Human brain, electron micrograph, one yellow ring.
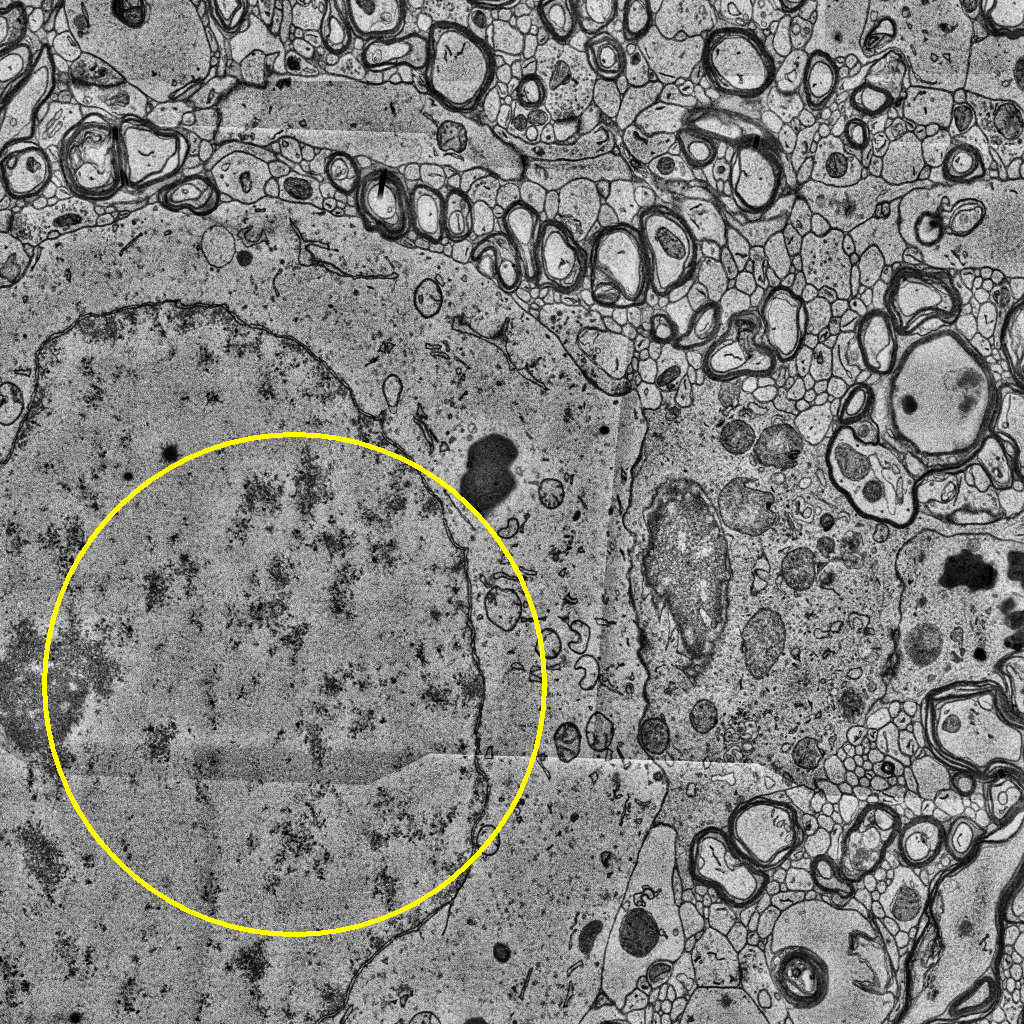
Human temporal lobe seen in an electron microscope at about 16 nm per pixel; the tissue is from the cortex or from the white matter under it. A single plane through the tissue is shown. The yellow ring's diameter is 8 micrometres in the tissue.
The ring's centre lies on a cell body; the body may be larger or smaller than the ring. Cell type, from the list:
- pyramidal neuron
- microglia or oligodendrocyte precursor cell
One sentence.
The yellow ring's centre lies on a pyramidal neuron.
